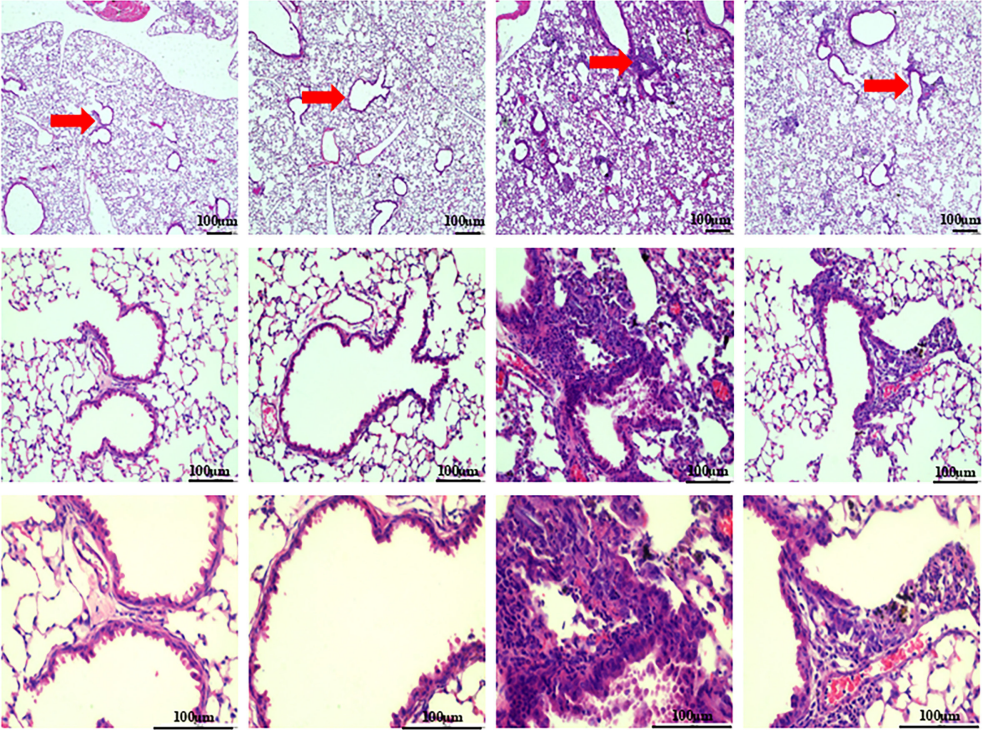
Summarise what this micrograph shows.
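This grid of lung sections shows the same tissue at three magnifications. In the third column, dense clusters of small, dark purple-nucleated cells crowd around the bronchiole and vessels, with thickened, more cellular alveolar walls and some dark brown-black particles. The fourth column shows a smaller peribronchial accumulation of such cells.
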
